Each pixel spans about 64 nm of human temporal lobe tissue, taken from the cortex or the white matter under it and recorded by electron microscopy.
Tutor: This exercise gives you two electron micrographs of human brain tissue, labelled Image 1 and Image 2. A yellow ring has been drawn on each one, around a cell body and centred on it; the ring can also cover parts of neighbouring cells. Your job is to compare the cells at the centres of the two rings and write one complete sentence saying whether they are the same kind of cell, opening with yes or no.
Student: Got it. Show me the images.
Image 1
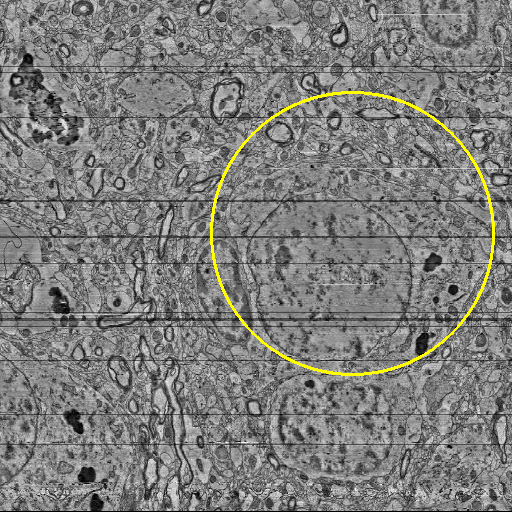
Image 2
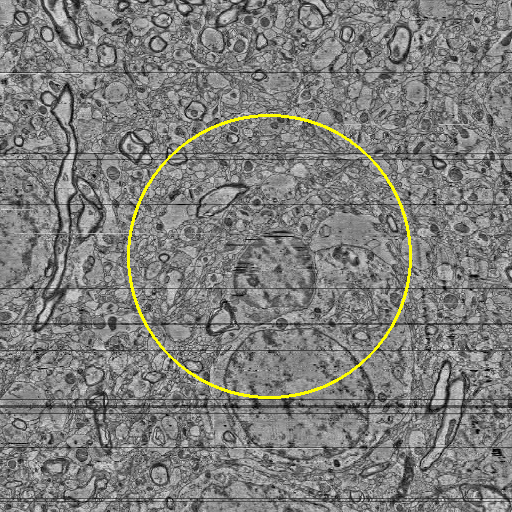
No, the two cells belong to two kinds.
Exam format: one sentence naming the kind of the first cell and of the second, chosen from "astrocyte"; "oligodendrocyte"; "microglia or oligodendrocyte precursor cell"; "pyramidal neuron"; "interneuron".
The first picture's cell is a pyramidal neuron, and the second picture's cell is an oligodendrocyte.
